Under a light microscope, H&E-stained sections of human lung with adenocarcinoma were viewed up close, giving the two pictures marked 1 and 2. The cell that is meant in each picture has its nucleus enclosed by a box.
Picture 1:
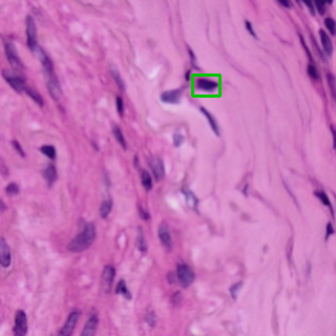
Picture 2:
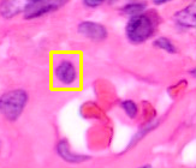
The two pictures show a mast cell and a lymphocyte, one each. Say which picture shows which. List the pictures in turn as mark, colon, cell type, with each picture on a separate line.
1: mast cell
2: lymphocyte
